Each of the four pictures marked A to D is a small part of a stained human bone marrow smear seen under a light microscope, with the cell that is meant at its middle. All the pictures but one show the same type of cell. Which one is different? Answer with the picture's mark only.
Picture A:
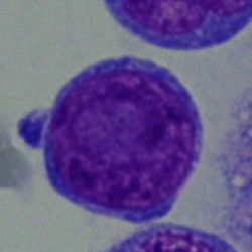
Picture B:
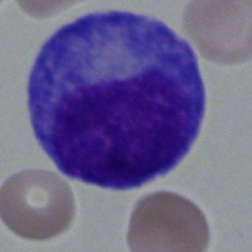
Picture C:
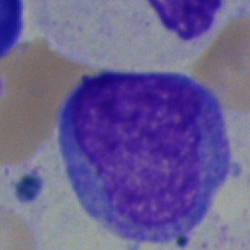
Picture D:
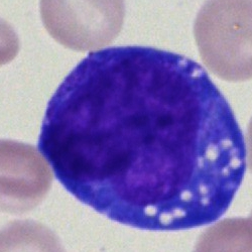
B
